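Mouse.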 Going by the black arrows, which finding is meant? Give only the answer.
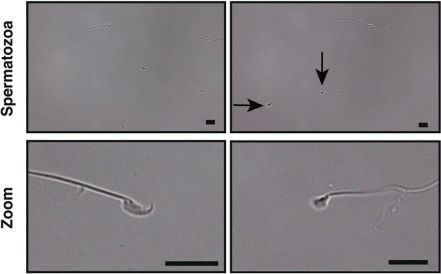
Sperm with abnormal head.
